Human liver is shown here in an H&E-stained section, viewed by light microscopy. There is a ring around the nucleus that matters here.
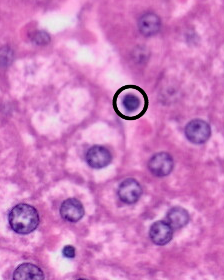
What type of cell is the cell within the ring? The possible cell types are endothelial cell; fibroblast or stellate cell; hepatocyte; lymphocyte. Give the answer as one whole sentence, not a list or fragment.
The correct response here is that the cell within the ring is a lymphocyte.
